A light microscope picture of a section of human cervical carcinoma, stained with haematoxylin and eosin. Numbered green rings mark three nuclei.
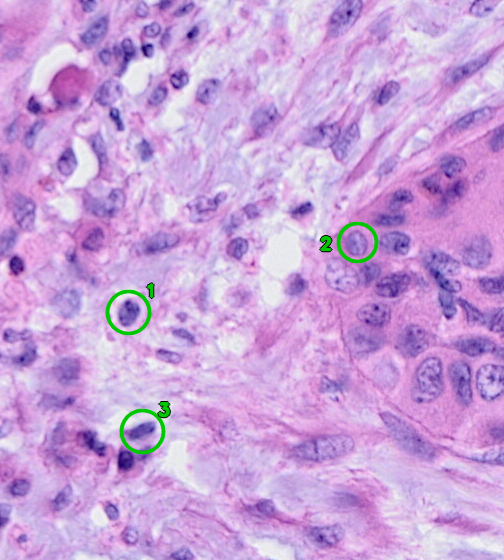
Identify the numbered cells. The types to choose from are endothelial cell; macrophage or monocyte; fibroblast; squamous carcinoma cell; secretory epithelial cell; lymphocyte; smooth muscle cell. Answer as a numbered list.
1. lymphocyte
2. squamous carcinoma cell
3. lymphocyte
